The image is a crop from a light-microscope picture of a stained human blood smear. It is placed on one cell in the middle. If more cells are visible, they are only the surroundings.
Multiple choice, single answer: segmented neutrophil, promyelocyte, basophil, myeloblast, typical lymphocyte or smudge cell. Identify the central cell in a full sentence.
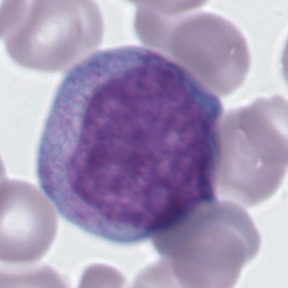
Present in the middle of the crop is a promyelocyte.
